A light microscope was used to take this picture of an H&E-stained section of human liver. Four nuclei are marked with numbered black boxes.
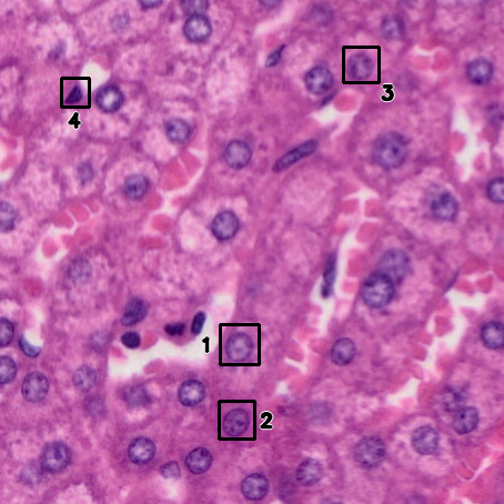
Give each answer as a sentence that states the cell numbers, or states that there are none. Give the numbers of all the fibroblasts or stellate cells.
Cell 4 is a fibroblast or stellate cell and is the only numbered cell of that kind.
